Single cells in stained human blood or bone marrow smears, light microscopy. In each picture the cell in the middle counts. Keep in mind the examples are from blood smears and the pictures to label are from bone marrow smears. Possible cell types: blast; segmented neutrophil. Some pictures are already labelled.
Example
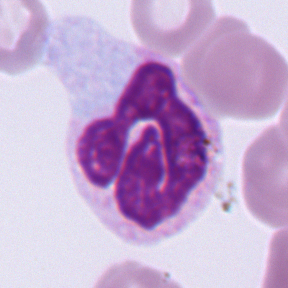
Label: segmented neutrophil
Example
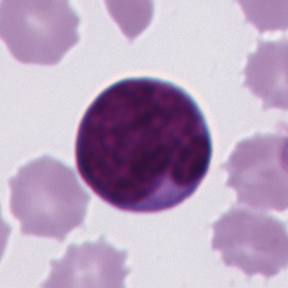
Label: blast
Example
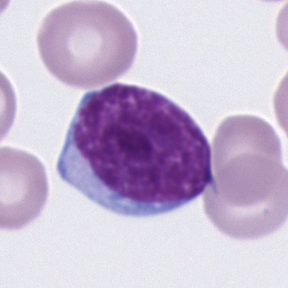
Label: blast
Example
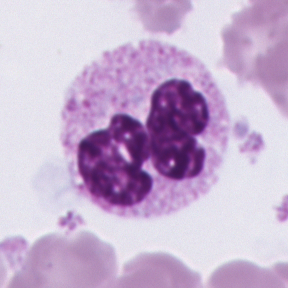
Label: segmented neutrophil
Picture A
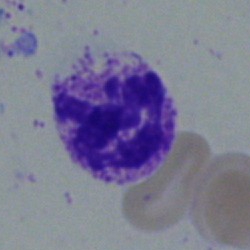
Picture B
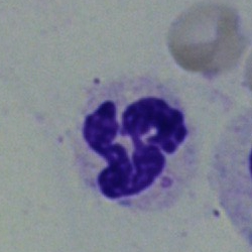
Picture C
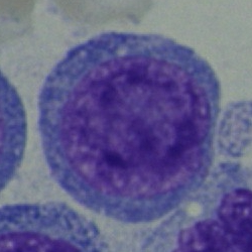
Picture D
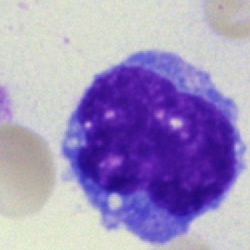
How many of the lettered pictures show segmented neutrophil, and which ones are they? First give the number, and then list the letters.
Count: 2 (A, B)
